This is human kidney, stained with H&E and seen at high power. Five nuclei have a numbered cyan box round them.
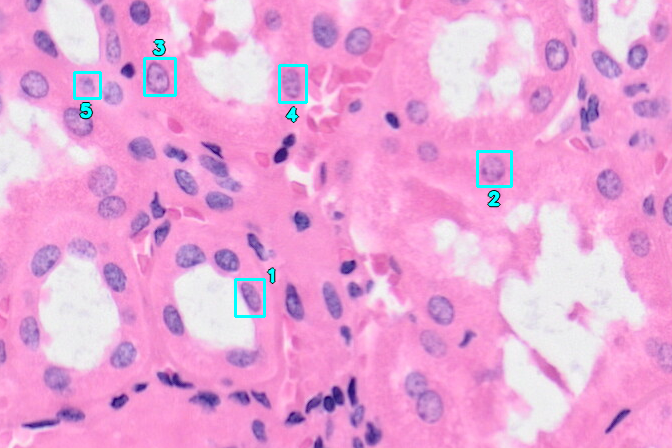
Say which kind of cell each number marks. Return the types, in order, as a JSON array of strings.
["loop of Henle or distal tubule cell", "proximal tubule cell", "proximal tubule cell", "proximal tubule cell", "collecting duct cell"]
